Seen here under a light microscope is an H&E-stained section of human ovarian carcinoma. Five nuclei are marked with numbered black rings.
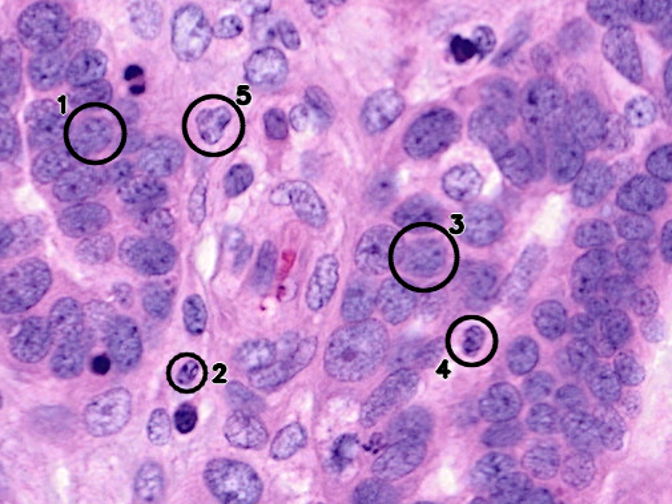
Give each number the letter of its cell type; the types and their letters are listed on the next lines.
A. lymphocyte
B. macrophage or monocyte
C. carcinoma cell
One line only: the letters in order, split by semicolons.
C; A; C; A; B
